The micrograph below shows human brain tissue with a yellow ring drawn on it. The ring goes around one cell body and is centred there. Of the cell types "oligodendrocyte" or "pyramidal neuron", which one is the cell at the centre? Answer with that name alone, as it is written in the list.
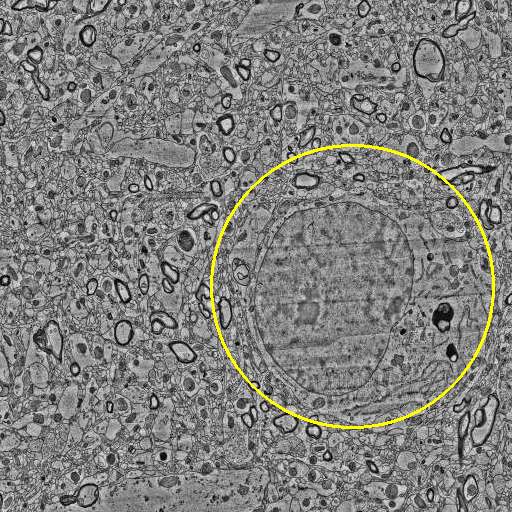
pyramidal neuron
